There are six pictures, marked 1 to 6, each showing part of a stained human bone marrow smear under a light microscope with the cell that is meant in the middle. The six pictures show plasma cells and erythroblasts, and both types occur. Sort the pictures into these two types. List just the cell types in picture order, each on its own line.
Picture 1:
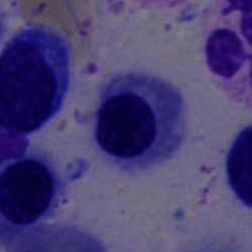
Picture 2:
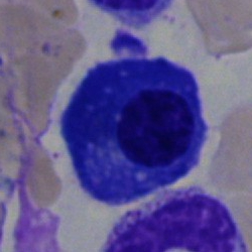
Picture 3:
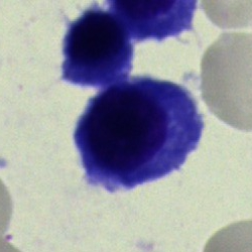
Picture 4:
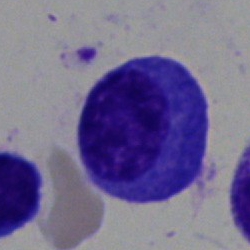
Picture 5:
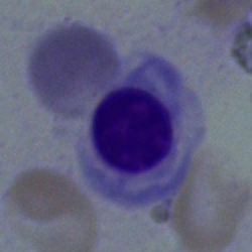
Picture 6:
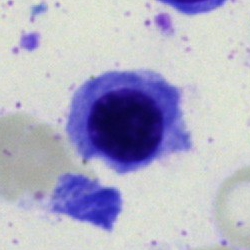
erythroblast
plasma cell
erythroblast
plasma cell
erythroblast
erythroblast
